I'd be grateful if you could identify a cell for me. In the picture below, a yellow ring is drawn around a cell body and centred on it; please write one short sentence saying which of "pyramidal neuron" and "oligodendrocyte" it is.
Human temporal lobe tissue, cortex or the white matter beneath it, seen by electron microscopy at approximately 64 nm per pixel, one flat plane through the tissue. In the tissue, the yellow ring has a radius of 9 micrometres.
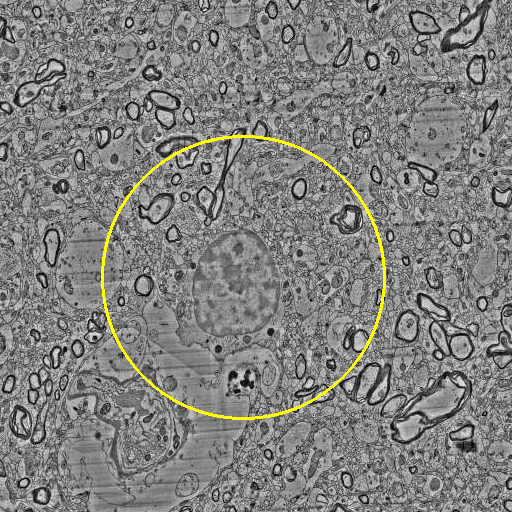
The cell under the ring's centre is an oligodendrocyte.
